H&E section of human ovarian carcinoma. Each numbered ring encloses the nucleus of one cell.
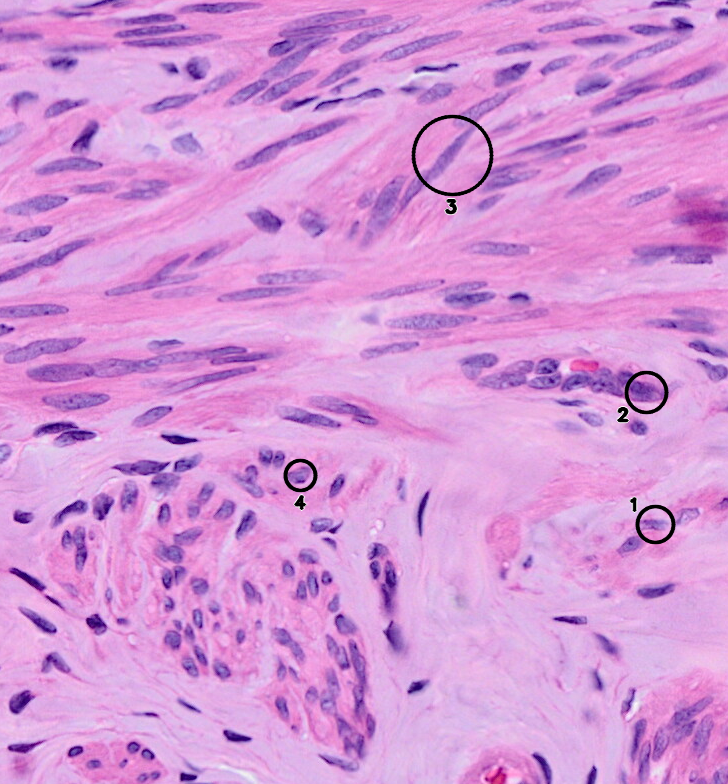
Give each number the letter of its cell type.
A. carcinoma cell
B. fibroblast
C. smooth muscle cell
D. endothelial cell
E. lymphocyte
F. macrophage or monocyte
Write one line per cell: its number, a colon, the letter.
1: C
2: D
3: C
4: C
